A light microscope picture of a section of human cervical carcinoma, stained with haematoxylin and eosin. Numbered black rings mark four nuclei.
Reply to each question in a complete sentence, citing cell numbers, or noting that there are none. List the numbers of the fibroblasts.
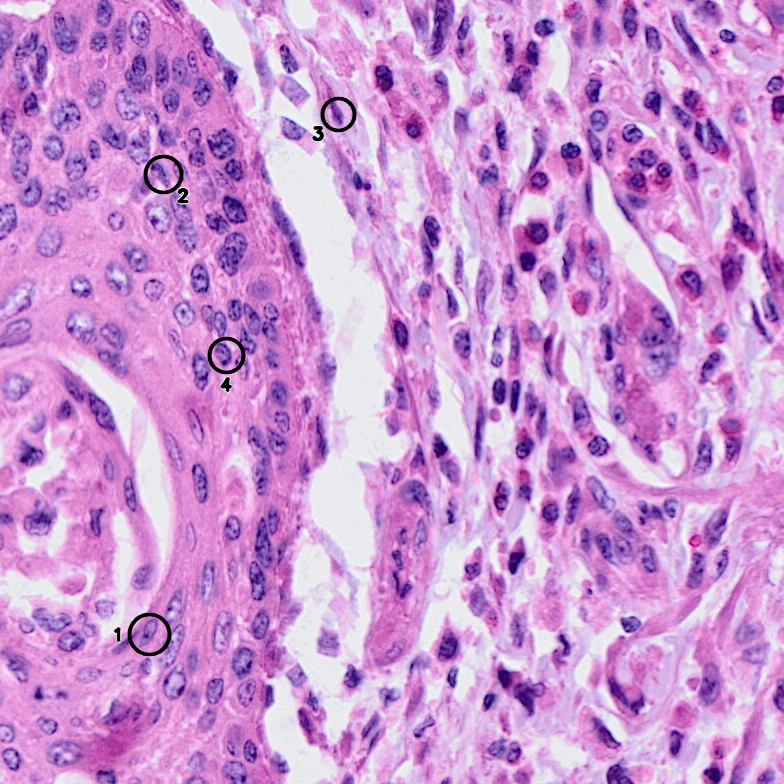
Cell 3 is the only one of the numbered cells that is a fibroblast.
